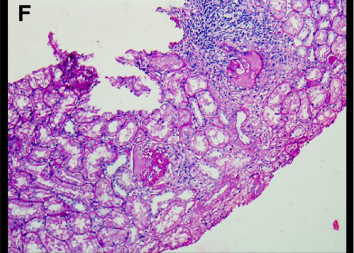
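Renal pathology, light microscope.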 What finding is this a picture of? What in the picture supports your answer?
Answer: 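Focal inflammatory cell infiltration. A dense cluster of small blue nuclei lies in the interstitium near the top of the section. Tubules around it are separated by widened interstitium.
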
